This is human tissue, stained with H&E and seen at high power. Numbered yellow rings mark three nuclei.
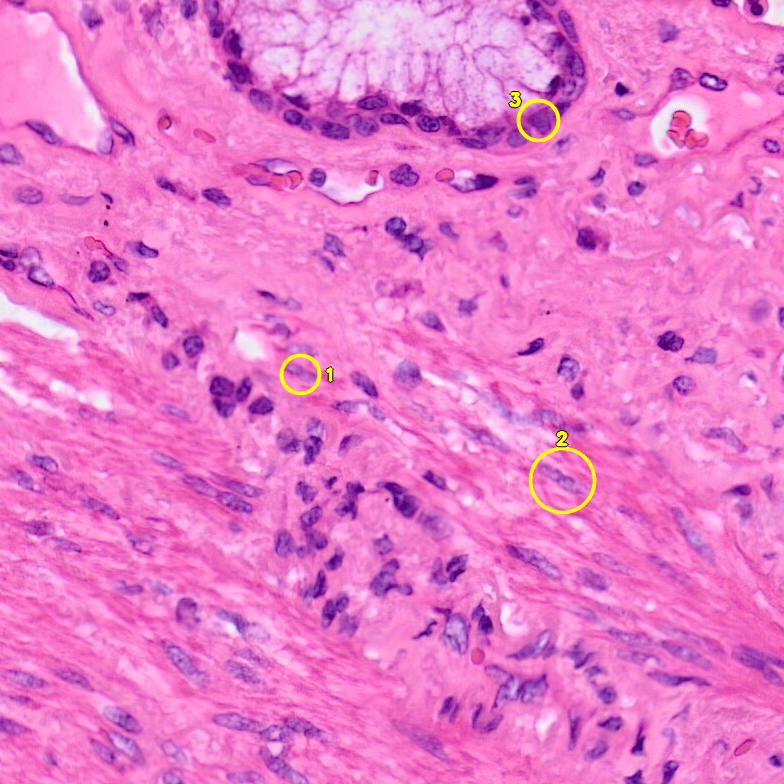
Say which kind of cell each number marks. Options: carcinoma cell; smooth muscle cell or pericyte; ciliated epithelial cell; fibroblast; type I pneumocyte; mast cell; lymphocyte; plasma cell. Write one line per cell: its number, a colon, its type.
1: smooth muscle cell or pericyte
2: smooth muscle cell or pericyte
3: ciliated epithelial cell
